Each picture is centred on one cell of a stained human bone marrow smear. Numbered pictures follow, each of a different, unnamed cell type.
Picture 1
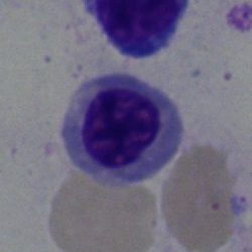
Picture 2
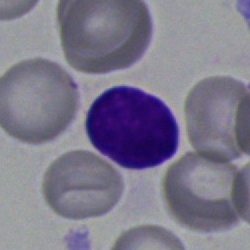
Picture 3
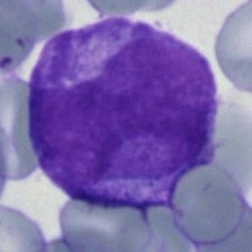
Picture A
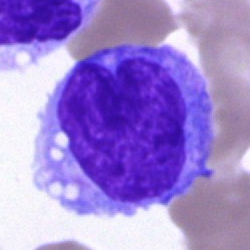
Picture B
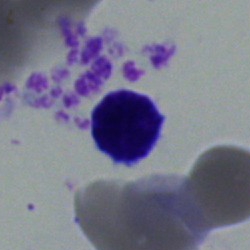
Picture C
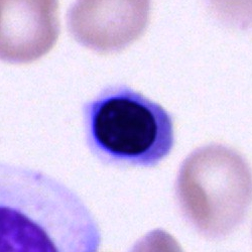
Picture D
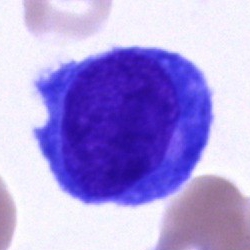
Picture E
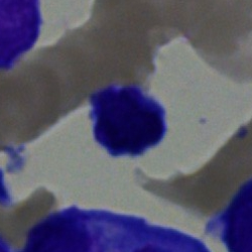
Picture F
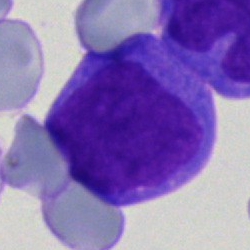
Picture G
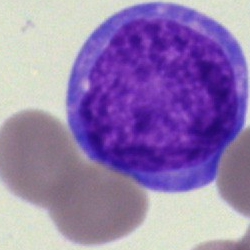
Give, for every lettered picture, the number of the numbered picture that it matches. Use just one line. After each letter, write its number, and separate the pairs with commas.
A 3, B 2, C 1, D 3, E 2, F 3, G 3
